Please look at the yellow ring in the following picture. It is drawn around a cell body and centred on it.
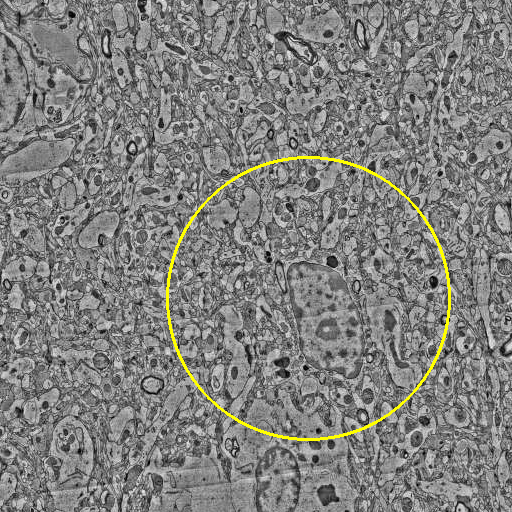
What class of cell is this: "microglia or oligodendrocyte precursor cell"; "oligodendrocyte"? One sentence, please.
The ring surrounds the cell body of a microglial cell or oligodendrocyte precursor cell.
